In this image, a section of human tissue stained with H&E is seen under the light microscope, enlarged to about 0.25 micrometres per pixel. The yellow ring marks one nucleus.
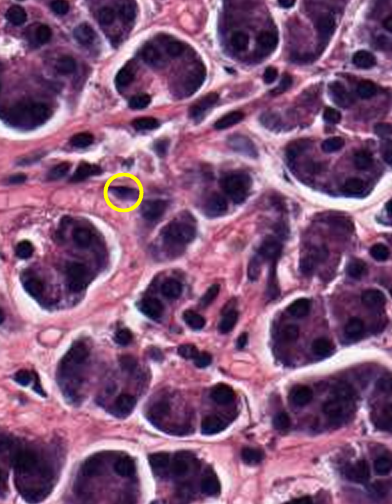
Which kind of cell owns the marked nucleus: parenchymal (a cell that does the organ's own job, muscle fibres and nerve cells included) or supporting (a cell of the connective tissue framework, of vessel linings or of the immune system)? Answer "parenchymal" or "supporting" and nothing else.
supporting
